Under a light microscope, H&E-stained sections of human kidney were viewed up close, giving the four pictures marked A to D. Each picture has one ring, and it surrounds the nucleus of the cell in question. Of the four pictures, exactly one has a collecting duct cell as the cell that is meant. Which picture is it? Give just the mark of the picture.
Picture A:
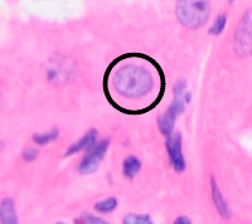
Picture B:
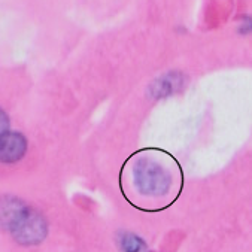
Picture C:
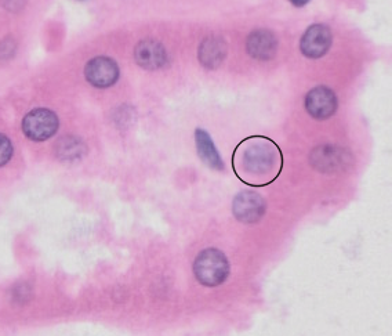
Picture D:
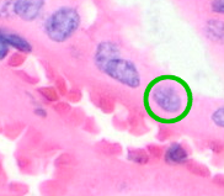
D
